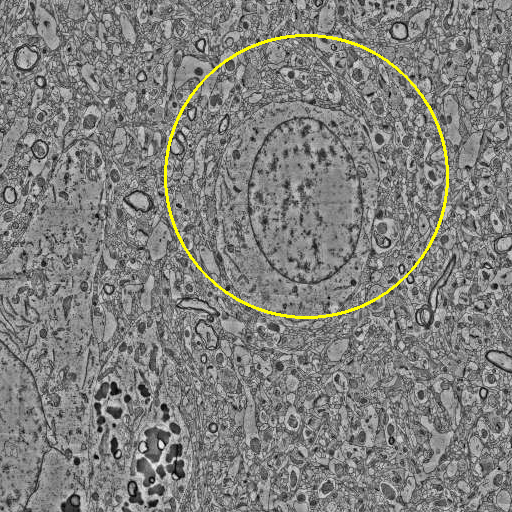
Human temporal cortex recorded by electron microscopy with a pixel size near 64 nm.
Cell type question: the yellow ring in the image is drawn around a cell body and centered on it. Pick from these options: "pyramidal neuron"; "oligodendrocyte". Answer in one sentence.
The ringed cell at the center is a pyramidal neuron.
